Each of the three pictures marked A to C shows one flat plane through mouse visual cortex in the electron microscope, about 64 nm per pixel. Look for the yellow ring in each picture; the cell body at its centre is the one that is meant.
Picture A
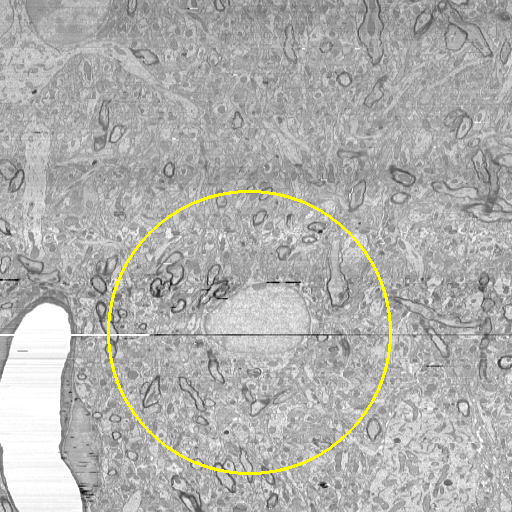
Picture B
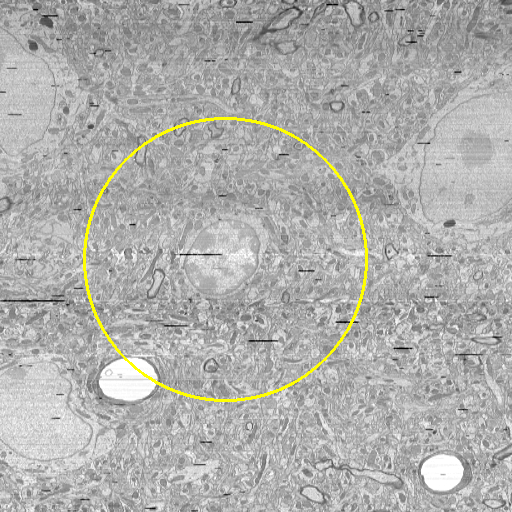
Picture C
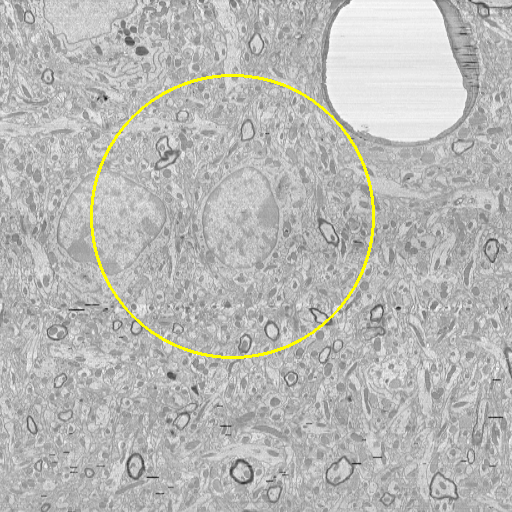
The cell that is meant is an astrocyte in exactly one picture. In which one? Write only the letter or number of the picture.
A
